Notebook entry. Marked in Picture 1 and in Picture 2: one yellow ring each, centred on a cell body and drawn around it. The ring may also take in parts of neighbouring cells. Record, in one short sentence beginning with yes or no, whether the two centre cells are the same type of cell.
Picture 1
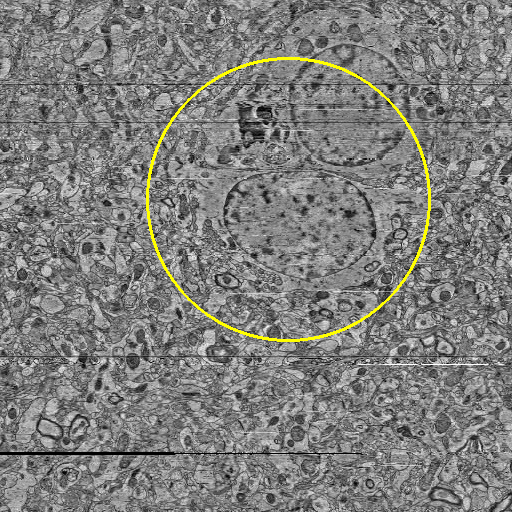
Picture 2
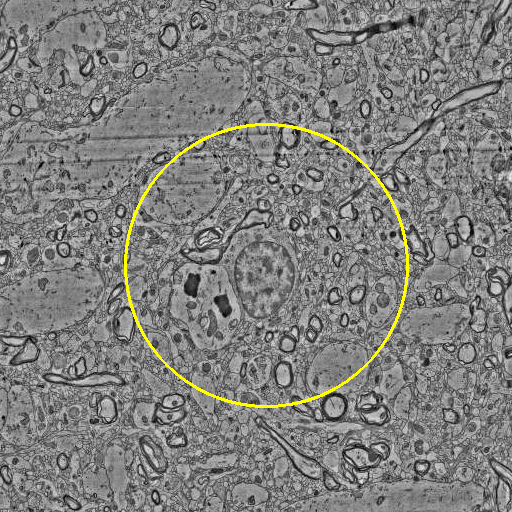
No, they are two types of cell.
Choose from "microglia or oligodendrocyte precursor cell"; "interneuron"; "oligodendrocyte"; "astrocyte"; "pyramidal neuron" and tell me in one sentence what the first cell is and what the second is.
What the first ring is centred on is an astrocyte; what the second ring is centred on is an oligodendrocyte.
